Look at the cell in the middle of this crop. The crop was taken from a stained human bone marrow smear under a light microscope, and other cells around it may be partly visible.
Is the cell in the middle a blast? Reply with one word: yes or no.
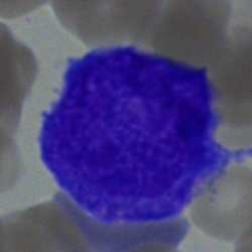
yes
